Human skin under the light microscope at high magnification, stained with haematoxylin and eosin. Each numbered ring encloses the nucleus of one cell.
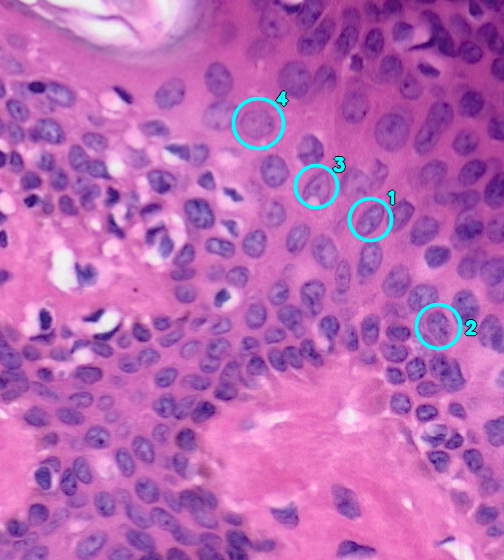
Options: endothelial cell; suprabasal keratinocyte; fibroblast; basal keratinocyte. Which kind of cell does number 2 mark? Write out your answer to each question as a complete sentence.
Here, the cell given the number 2 is a basal keratinocyte.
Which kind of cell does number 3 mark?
The nucleus labeled 3 belongs to a suprabasal keratinocyte.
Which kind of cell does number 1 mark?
The identity of cell 1 is that of a suprabasal keratinocyte.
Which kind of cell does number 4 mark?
In this section, the cell numbered 4 is a suprabasal keratinocyte.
